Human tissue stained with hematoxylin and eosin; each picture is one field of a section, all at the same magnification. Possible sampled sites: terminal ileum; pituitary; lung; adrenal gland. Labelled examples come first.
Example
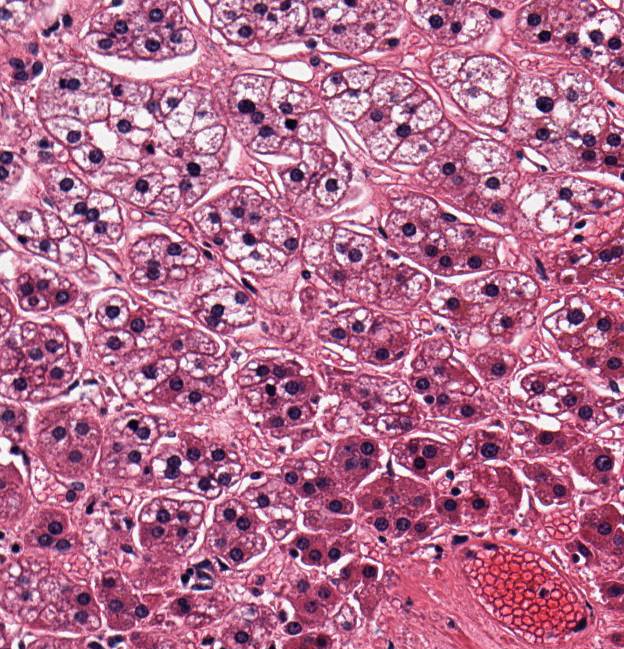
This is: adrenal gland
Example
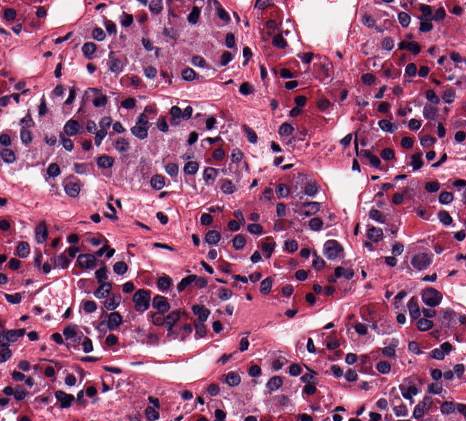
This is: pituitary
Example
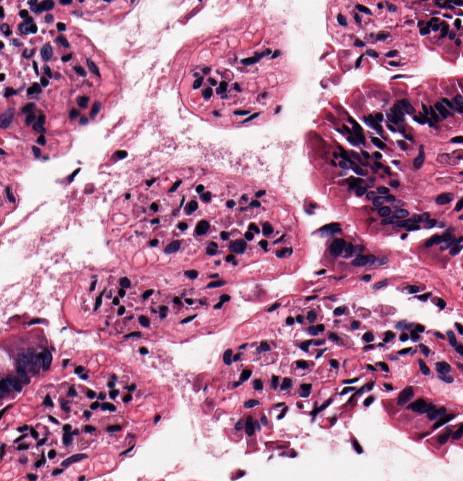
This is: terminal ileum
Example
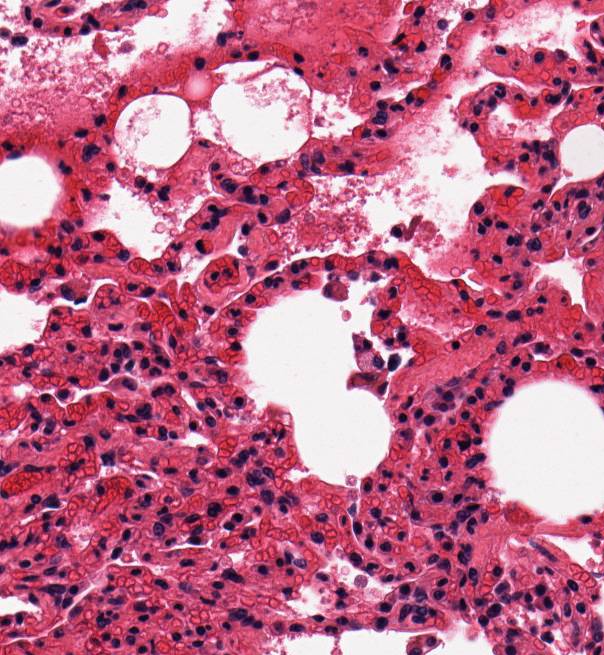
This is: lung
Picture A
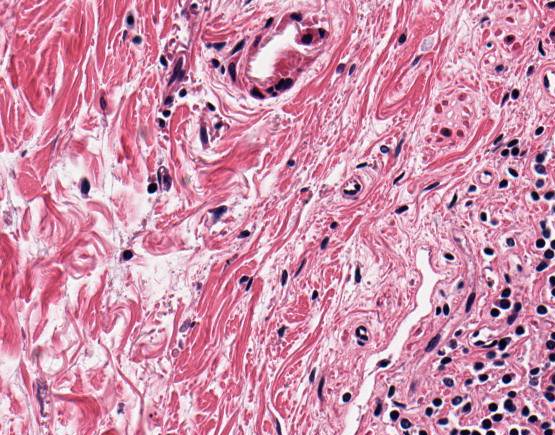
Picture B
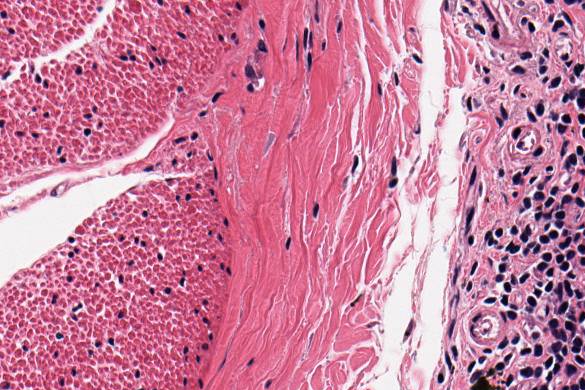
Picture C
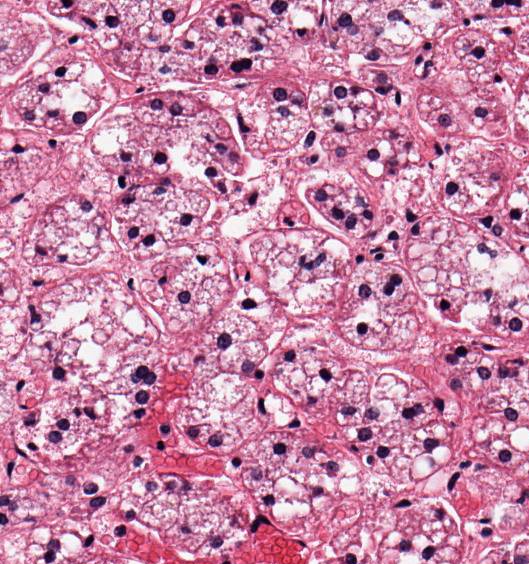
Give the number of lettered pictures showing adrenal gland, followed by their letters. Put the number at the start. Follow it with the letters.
1, namely C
